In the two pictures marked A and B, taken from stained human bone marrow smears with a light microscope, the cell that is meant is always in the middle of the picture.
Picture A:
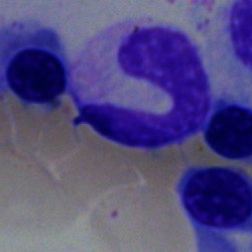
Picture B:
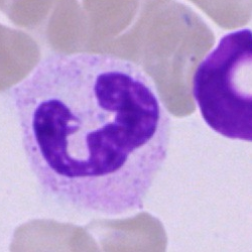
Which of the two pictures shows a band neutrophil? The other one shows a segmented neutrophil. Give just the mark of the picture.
A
